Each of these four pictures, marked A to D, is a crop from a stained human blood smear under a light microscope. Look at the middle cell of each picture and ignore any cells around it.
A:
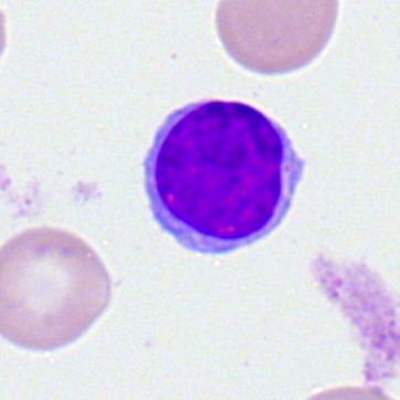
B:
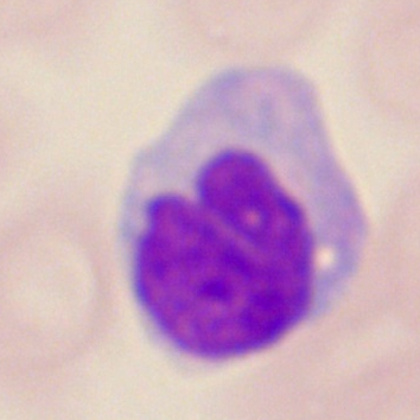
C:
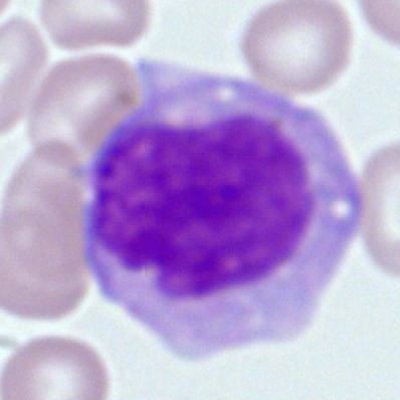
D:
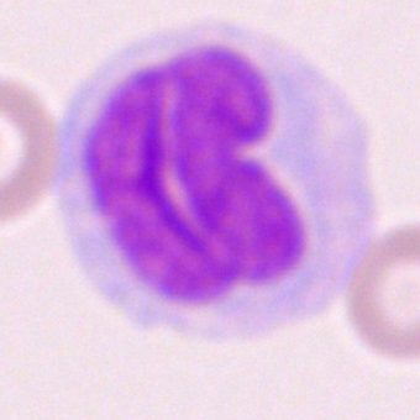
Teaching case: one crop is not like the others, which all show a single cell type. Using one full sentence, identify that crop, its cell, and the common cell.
Apart from crop A, which shows a lymphocyte, every crop shows monocytes.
